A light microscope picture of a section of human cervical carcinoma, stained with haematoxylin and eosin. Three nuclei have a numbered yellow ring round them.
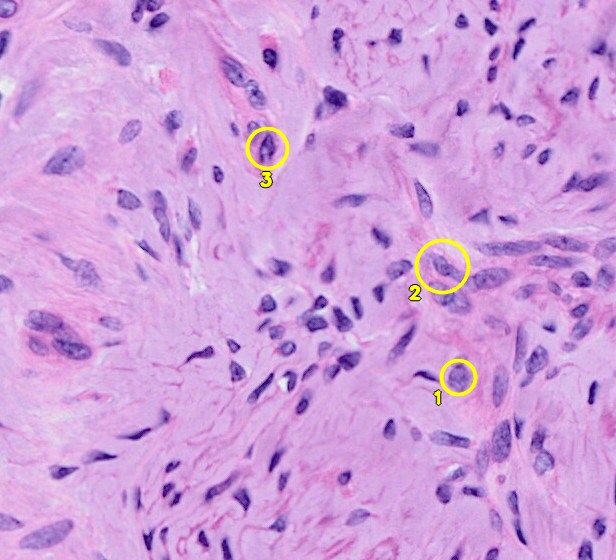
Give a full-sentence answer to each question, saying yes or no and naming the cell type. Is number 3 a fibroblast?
No, cell 3 is to be classed as an endothelial cell, not a fibroblast.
